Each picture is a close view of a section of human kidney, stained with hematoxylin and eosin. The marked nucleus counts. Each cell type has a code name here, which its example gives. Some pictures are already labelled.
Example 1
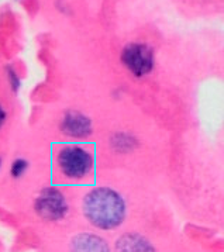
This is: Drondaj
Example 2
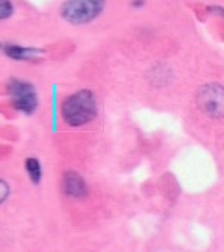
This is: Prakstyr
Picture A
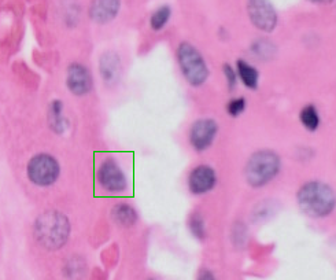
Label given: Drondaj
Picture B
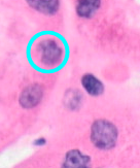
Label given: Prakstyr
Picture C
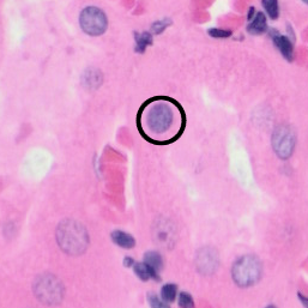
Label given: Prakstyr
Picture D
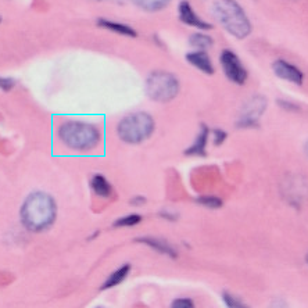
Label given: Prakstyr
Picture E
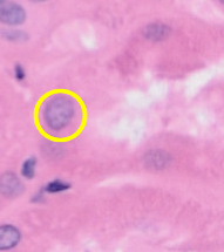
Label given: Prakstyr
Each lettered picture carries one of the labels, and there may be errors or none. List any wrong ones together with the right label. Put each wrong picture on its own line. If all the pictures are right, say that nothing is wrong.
D: Drondaj, not Prakstyr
